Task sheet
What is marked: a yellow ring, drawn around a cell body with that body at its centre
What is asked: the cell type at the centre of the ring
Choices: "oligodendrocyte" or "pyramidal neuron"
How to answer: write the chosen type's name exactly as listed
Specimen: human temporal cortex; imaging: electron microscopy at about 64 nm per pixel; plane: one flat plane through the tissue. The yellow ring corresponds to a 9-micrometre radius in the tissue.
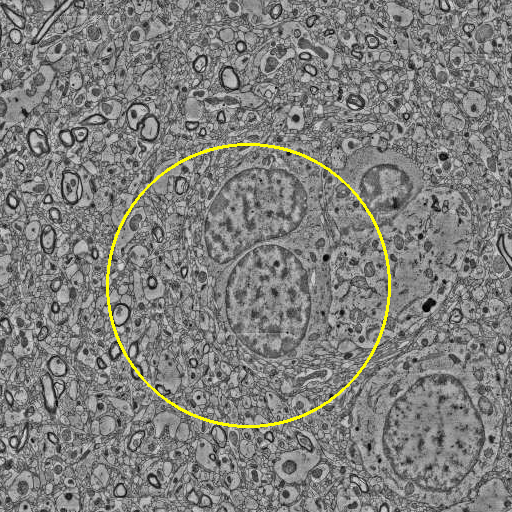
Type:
oligodendrocyte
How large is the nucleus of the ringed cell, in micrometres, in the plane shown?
About 7 by 6 micrometers, in this plane.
